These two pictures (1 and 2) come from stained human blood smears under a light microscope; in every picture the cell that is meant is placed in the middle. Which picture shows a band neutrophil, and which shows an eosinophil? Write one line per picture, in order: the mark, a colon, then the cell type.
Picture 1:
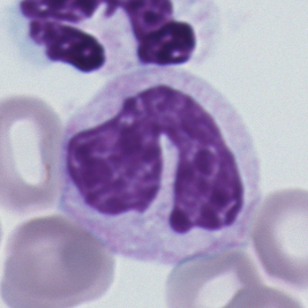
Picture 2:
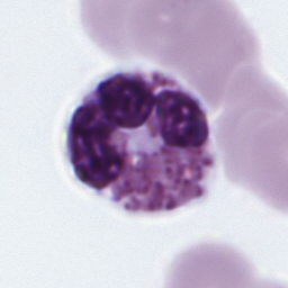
1: band neutrophil
2: eosinophil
